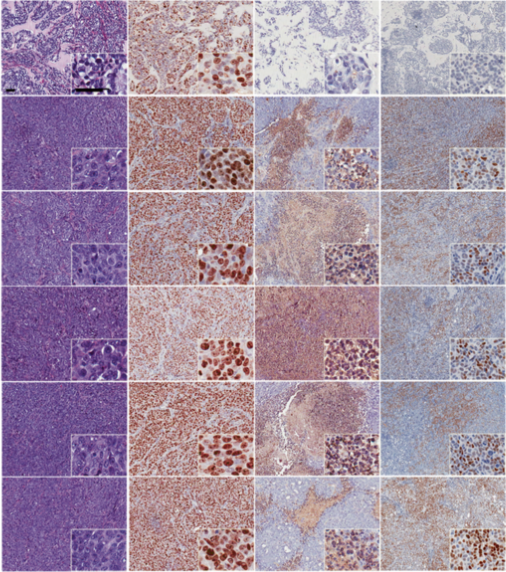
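This is a grid of tumor sections, four stains across and six tumors down, each with a higher-magnification inset in its lower right corner. In the hematoxylin and eosin images the tumors are made of densely packed cells with purple nuclei. The top-row tumor is looser, with pale spaces between strands of cells.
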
